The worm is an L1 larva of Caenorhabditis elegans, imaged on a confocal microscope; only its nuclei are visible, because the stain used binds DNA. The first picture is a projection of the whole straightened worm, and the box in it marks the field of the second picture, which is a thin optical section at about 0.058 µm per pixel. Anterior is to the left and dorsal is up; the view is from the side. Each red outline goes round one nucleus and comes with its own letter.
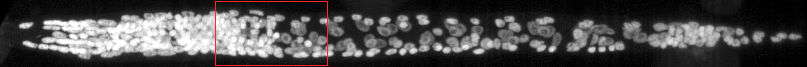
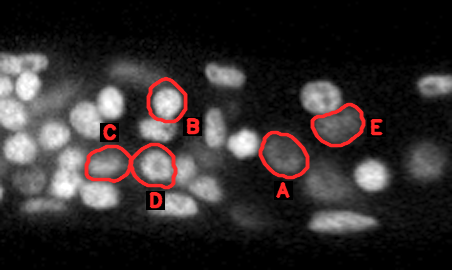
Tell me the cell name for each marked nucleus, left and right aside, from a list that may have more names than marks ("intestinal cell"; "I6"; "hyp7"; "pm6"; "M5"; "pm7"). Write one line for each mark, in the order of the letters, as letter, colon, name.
A: hyp7
B: M5
C: pm6
D: pm7
E: intestinal cell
